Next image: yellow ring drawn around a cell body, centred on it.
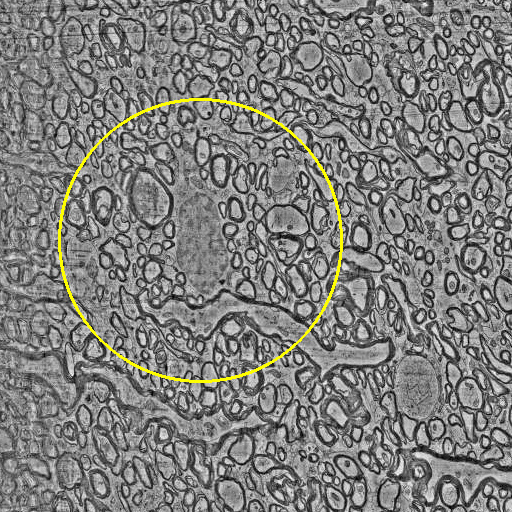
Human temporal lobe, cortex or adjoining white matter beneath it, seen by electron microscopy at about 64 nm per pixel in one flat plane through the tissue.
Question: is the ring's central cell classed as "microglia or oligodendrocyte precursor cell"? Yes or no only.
no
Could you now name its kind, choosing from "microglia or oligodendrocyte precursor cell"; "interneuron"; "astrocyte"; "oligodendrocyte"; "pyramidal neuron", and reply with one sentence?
As it turns out, the cell at the ring centre is an oligodendrocyte.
